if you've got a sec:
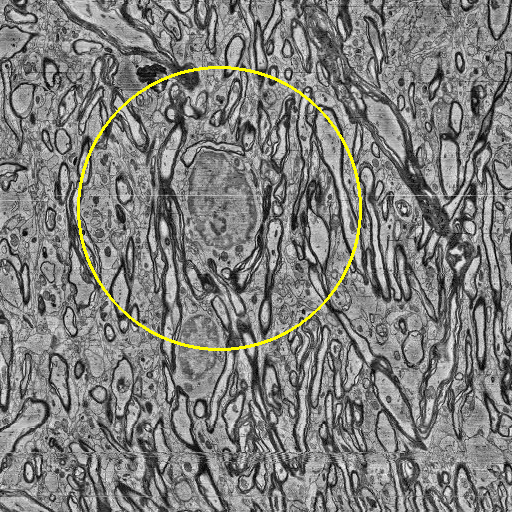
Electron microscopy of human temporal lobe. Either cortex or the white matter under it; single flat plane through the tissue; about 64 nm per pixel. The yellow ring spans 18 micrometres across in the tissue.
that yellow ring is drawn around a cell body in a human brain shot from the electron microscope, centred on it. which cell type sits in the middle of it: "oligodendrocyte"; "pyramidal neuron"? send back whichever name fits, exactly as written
oligodendrocyte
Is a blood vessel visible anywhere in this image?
No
